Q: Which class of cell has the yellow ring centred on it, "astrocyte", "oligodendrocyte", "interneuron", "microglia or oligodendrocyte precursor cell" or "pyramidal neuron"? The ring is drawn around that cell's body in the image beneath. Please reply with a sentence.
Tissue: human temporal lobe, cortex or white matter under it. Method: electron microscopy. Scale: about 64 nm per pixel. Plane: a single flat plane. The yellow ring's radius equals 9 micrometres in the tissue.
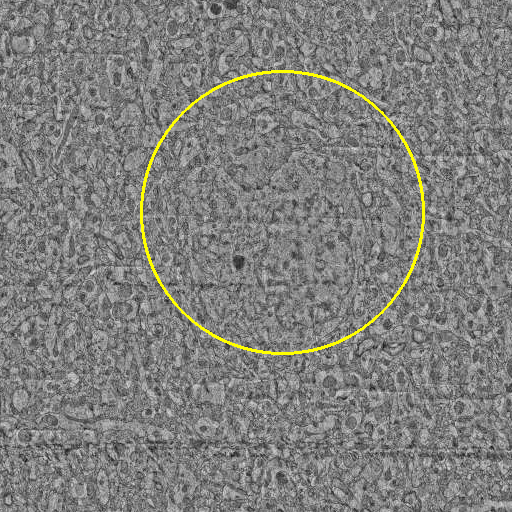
It is centred on an interneuron.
